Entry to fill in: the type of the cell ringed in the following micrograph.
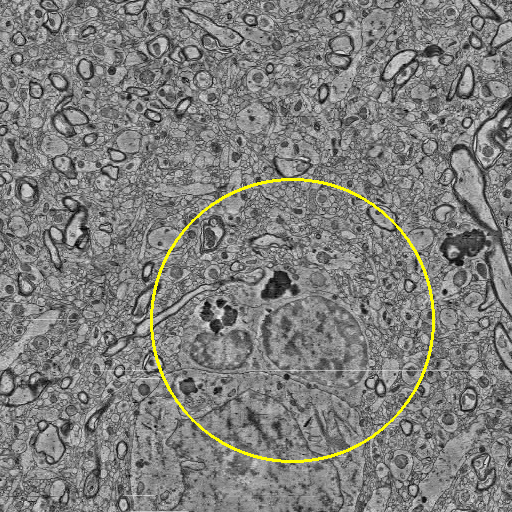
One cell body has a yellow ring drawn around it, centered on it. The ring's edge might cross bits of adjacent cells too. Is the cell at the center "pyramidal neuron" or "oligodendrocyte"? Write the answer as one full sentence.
This entry names an oligodendrocyte as the cell whose body lies at the ring's center.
